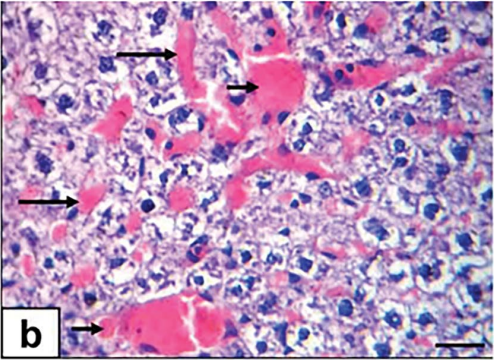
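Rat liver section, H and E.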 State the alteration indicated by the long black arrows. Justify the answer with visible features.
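Congestion of hepatic sinusoid. Long arrows point to irregular spaces between hepatocytes filled with solid bright pink material.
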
